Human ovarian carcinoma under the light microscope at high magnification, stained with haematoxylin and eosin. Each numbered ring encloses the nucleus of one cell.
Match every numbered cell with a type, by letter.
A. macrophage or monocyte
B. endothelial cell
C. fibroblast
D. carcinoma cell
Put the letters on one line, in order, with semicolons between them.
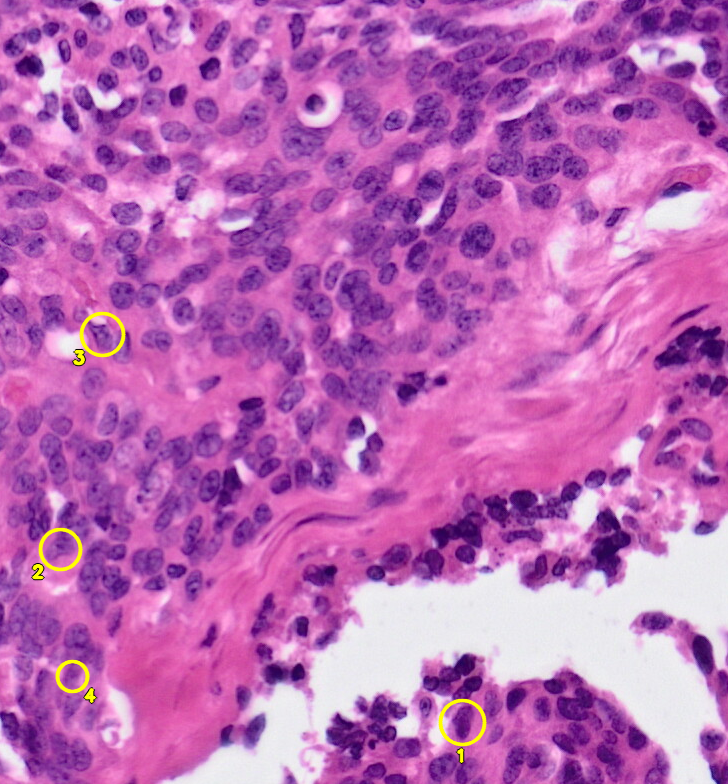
D; D; B; D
